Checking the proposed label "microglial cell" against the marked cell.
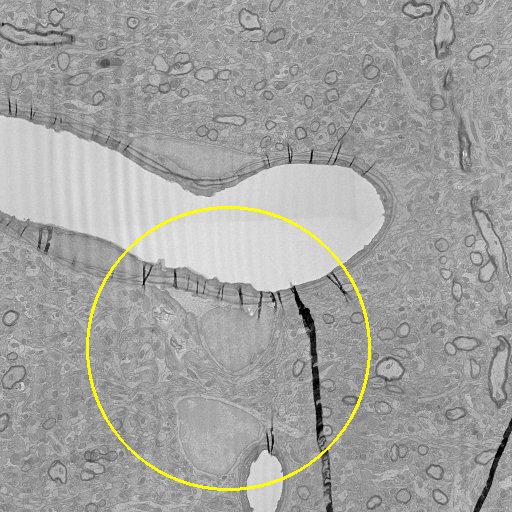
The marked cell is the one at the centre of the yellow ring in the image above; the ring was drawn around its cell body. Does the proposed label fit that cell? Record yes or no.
yes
